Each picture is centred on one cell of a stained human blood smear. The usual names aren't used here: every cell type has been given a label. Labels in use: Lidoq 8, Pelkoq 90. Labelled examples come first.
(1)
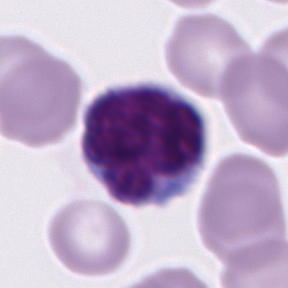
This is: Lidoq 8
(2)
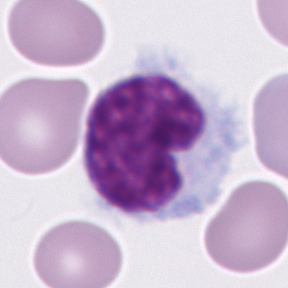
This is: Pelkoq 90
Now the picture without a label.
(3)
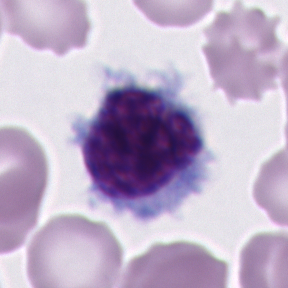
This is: Pelkoq 90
